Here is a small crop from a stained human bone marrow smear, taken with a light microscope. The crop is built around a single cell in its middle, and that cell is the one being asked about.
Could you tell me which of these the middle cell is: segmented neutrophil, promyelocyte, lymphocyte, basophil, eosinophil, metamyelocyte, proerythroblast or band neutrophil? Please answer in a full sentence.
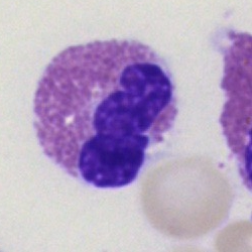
The middle cell in this particular crop is an eosinophil.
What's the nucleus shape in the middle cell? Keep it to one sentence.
Its nucleus is lobed, with at least two separate segments.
